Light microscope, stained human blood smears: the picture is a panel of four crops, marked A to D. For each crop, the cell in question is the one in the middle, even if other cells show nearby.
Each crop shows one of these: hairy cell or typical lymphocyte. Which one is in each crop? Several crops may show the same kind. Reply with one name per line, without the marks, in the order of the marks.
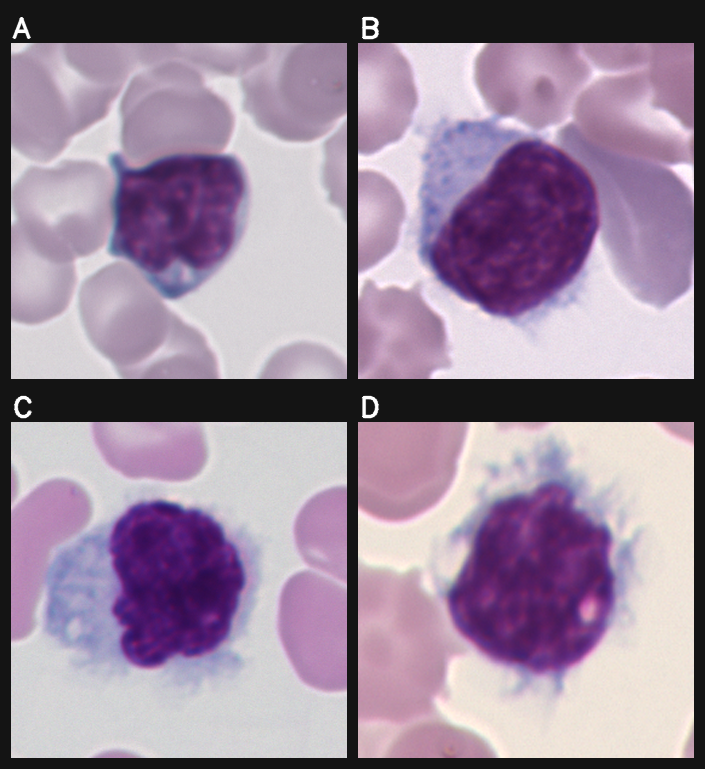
typical lymphocyte
hairy cell
hairy cell
hairy cell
